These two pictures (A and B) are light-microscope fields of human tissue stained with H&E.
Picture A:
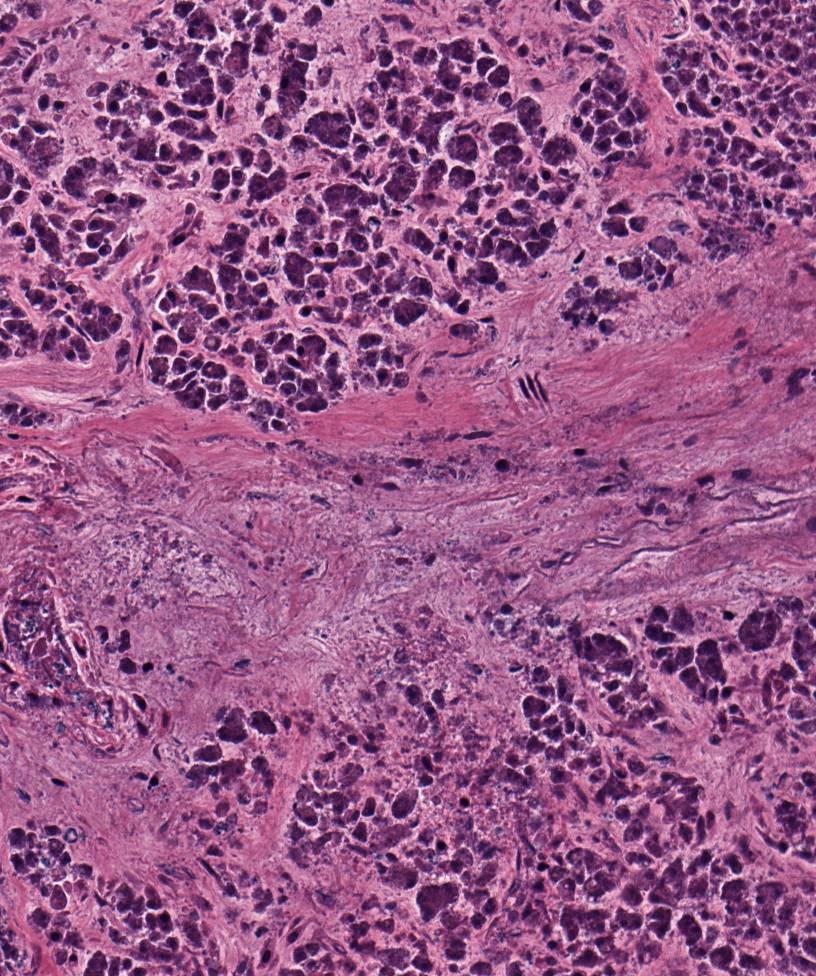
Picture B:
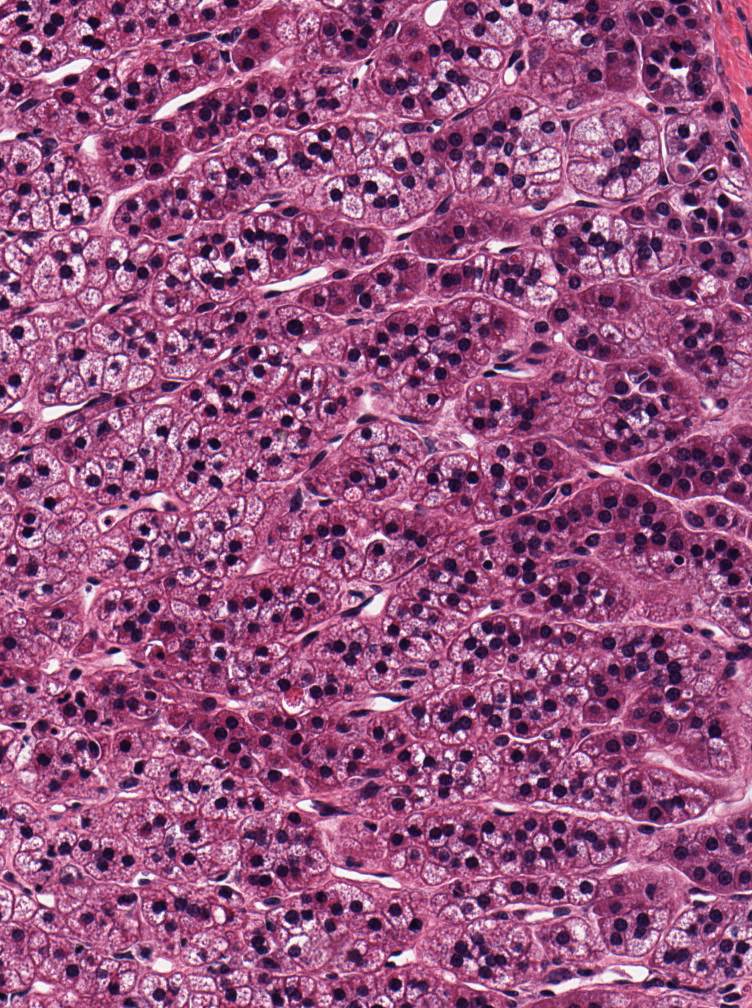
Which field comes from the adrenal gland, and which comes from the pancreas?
A: pancreas
B: adrenal gland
